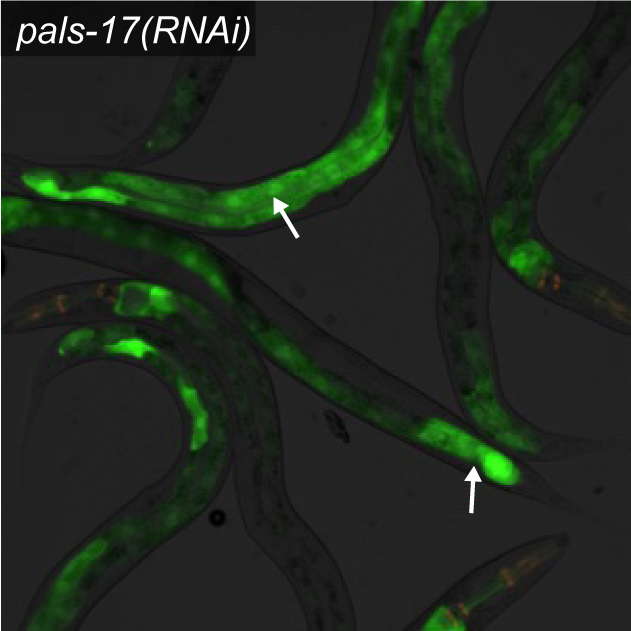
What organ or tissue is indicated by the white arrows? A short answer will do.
intestine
